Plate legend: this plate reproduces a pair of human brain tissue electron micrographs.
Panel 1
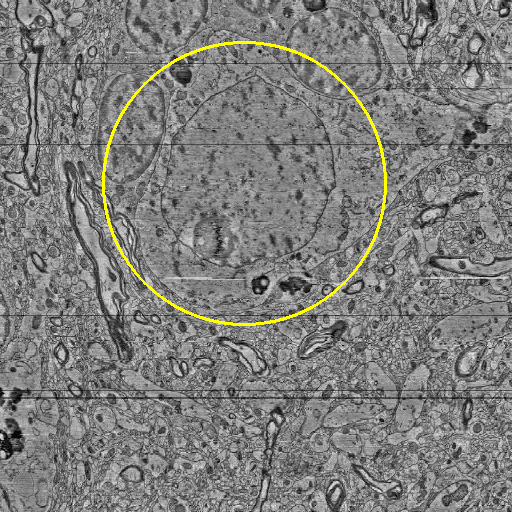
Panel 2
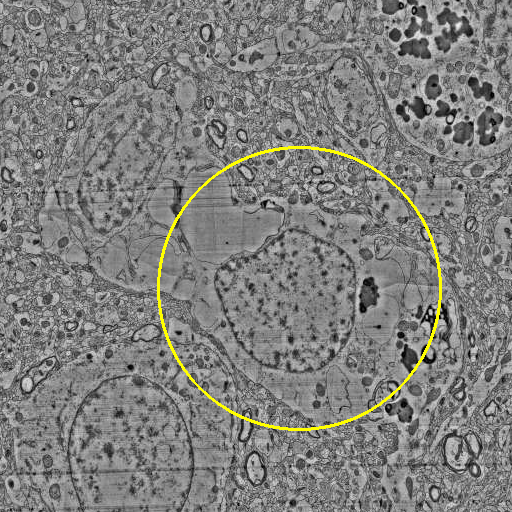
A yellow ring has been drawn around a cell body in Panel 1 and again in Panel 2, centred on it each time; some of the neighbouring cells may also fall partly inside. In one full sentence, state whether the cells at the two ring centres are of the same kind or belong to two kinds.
The ring-centred cells of Panel 1 and Panel 2 belong to two kinds.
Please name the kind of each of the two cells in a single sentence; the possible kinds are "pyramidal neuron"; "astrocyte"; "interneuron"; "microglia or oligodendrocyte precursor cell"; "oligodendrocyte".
In the first picture the ring is centred on a pyramidal neuron, and in the second on an astrocyte.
